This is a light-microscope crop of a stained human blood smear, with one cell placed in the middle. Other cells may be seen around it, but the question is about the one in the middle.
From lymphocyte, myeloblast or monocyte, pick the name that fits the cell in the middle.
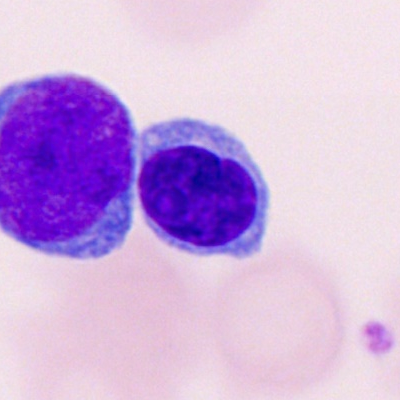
lymphocyte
